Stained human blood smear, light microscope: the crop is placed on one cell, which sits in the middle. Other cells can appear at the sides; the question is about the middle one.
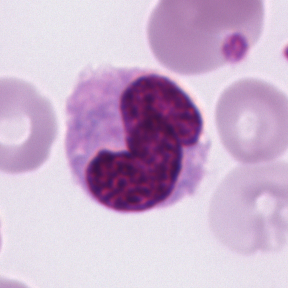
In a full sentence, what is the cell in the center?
Answering briefly, the cell in the middle is a band neutrophil.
